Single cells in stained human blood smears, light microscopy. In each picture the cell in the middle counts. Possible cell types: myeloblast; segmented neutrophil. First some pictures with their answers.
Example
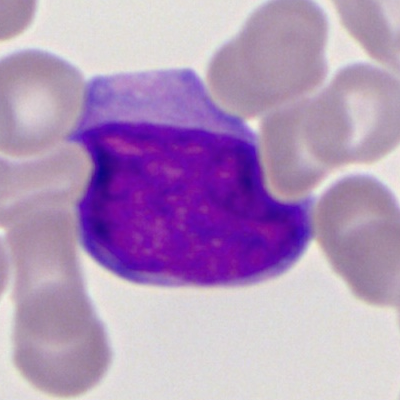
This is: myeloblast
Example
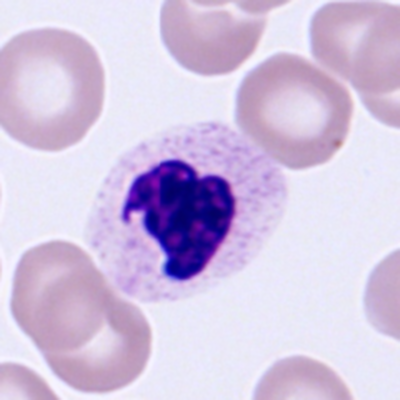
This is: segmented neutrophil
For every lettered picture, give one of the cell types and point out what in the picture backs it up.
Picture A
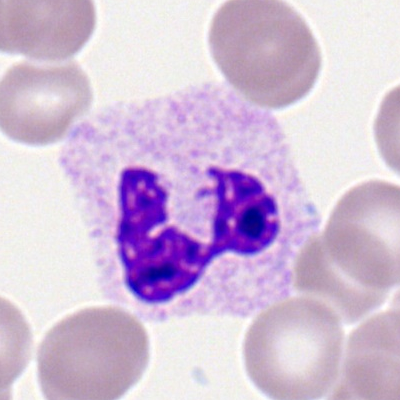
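Answer: segmented neutrophil. The cytoplasm is plentiful and pale pink.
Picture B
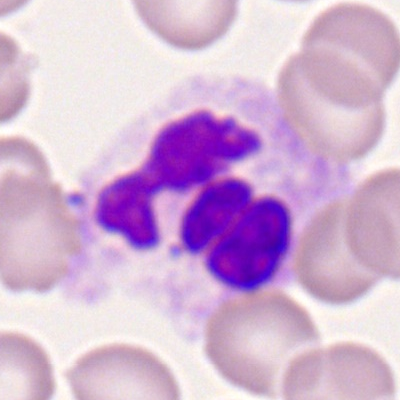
Answer: segmented neutrophil. The cytoplasm is plentiful and very pale pinkish-lilac.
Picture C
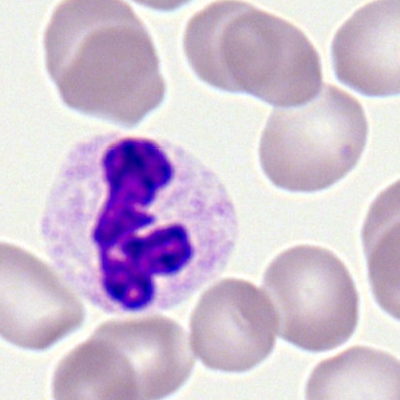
Answer: segmented neutrophil. The cytoplasm is plentiful and pale pinkish-lilac.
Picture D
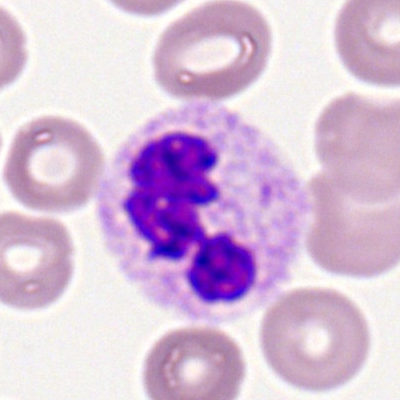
Answer: segmented neutrophil. The nucleus is divided into three lobes.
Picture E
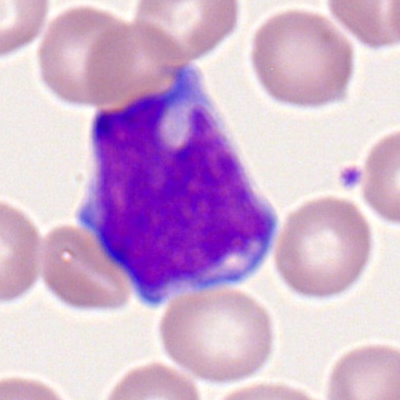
Answer: myeloblast. The cytoplasm is a scant rim around the nucleus.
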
